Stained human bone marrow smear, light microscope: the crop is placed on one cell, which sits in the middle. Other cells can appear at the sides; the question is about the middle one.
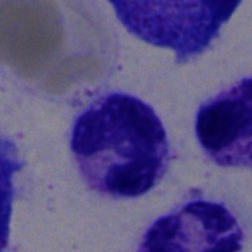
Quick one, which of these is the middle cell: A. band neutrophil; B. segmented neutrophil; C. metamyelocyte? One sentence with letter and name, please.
Option B is the correct selection, for the cell at the centre is a segmented neutrophil.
